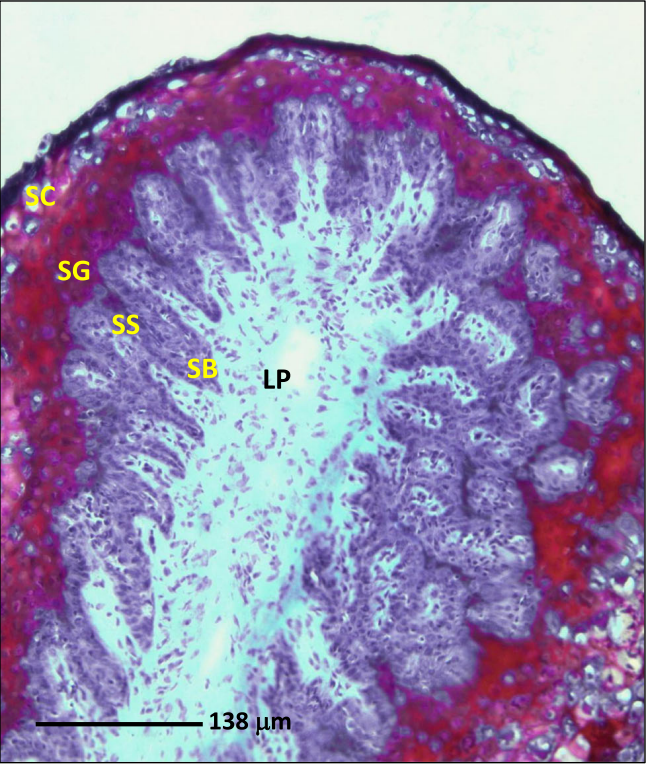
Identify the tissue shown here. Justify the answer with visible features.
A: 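Tip of a rumen papillae. A finger-like projection with a rounded tip is covered by layered epithelium. A pale blue connective tissue core sends ridges into the purple epithelium. The outer layers are maroon with a thin dark surface rim.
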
